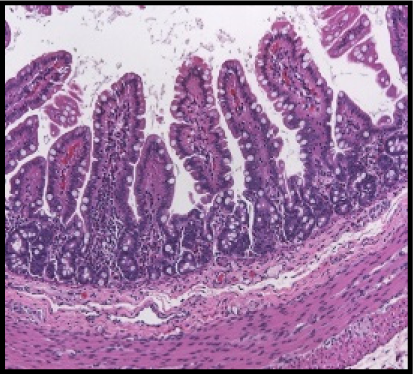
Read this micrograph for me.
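This is a section of small intestine wall in hematoxylin and eosin, showing mucosa with villi over a layer of smooth muscle. Finger-like villi, covered by a purple-stained epithelial lining, rise from the mucosa toward the pale lumen at the top. At their base a band of densely purple, tightly packed crypts sits on the submucosa. Beneath lies a pink, fibrous band of smooth muscle with elongated nuclei.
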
